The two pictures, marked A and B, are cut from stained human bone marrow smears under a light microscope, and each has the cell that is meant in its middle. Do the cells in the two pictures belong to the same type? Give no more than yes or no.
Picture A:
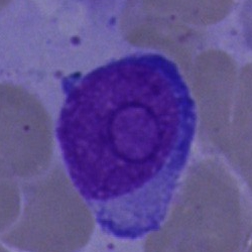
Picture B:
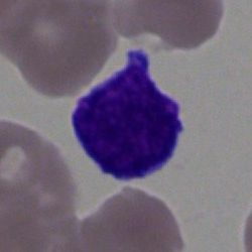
yes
